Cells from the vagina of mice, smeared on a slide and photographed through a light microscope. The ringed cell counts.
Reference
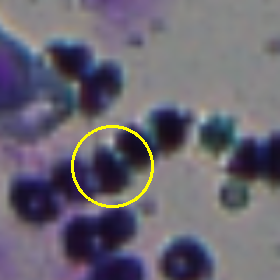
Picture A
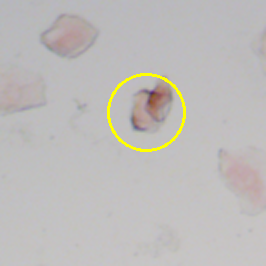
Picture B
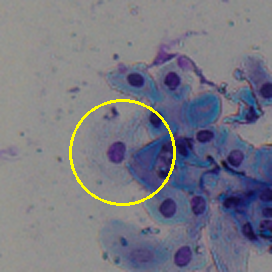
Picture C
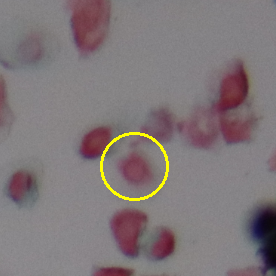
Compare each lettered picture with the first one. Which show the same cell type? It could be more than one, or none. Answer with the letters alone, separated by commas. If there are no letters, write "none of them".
none of them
